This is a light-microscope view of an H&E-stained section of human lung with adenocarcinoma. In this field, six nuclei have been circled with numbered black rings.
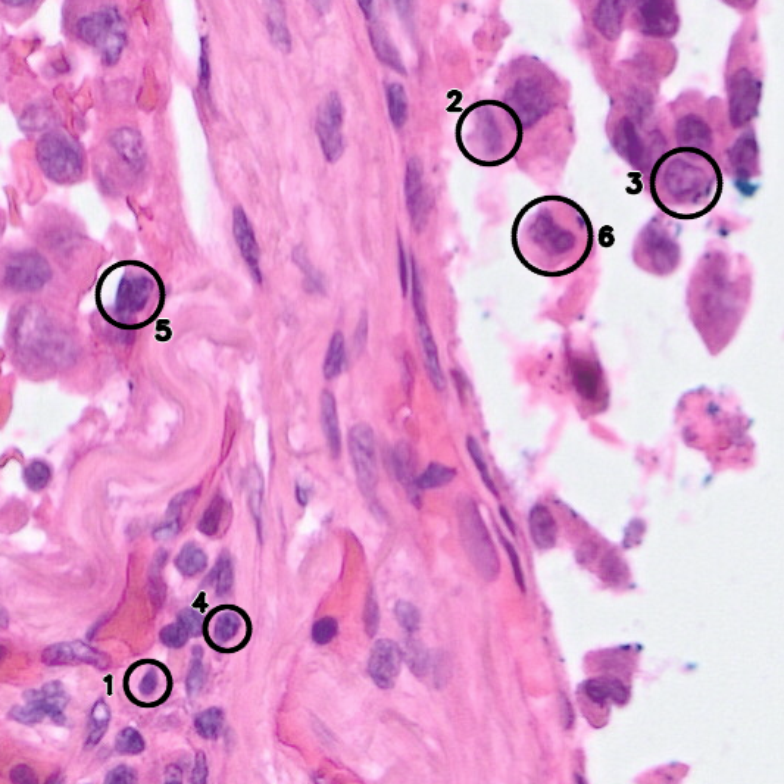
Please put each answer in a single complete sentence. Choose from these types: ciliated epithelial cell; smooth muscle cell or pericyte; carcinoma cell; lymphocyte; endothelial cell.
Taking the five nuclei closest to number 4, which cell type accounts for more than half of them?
Lymphocytes make up most of the five nuclei closest to number 4.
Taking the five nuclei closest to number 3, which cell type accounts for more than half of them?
The majority of the five nuclei closest to number 3 belong to carcinoma cells.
